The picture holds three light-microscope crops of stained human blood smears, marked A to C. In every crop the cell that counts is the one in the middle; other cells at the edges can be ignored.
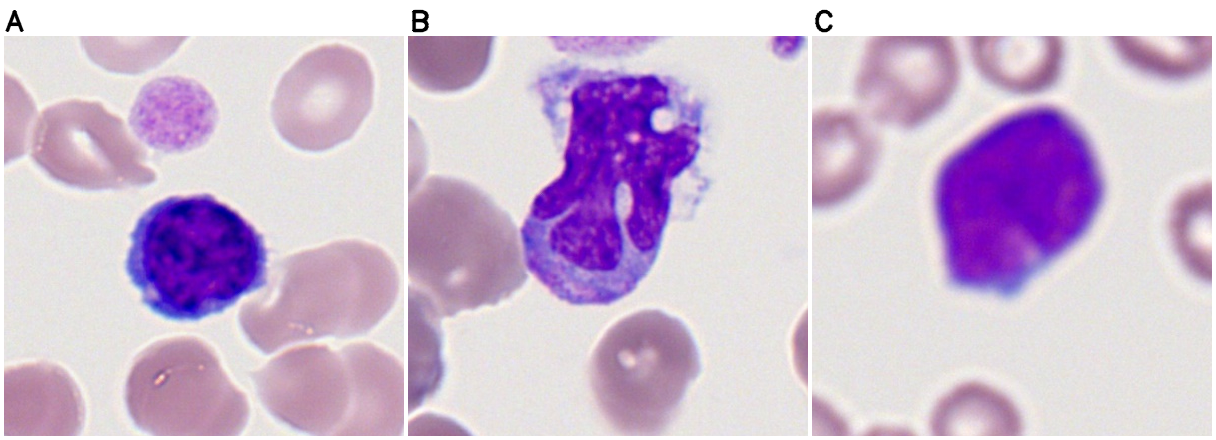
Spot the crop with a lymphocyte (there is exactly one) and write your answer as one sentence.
Crop A represents a lymphocyte, while the other crops do not.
